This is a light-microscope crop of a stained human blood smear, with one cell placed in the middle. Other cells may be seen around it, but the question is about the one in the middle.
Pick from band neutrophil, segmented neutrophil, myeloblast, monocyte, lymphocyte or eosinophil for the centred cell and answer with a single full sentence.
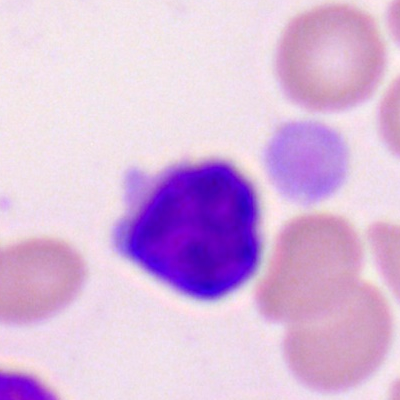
The identification for the central cell is a lymphocyte.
